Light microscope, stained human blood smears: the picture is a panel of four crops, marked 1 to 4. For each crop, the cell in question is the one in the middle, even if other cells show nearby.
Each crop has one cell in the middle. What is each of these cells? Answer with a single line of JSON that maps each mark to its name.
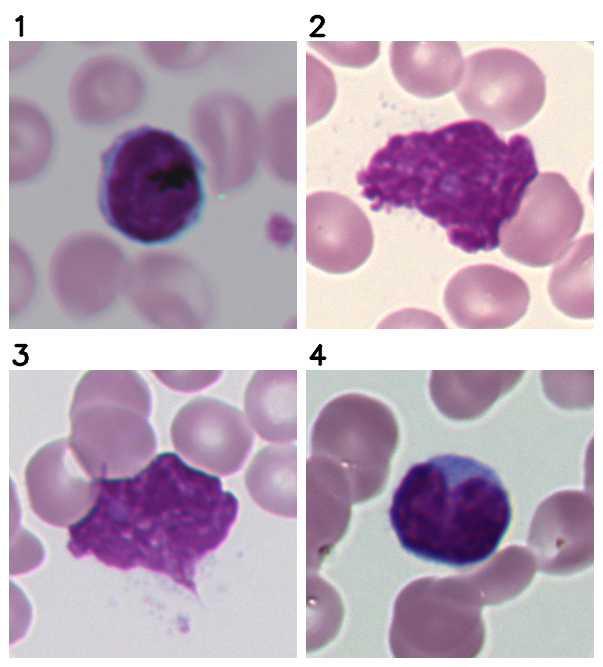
{"1": "typical lymphocyte", "2": "smudge cell", "3": "smudge cell", "4": "typical lymphocyte"}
